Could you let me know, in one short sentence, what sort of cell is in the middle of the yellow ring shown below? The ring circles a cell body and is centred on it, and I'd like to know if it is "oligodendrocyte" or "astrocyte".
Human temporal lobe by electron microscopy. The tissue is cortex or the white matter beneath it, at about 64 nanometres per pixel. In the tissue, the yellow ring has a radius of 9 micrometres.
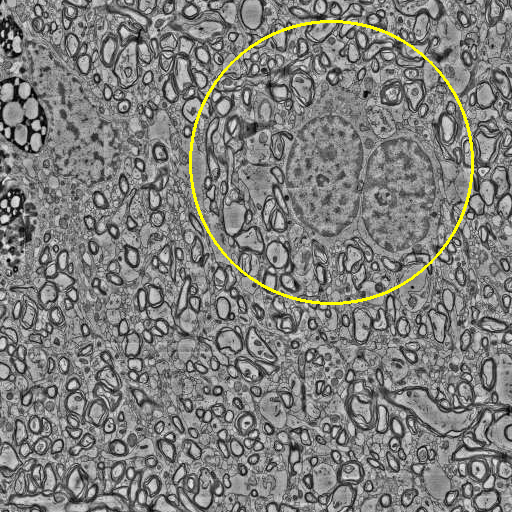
The ring circles the cell body of an oligodendrocyte.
